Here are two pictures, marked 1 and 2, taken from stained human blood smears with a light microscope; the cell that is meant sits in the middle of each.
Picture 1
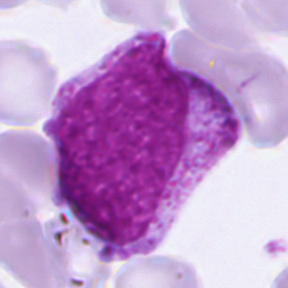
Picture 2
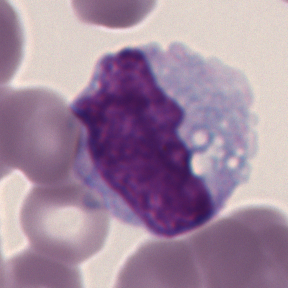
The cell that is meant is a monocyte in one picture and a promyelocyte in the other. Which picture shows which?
1: promyelocyte
2: monocyte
